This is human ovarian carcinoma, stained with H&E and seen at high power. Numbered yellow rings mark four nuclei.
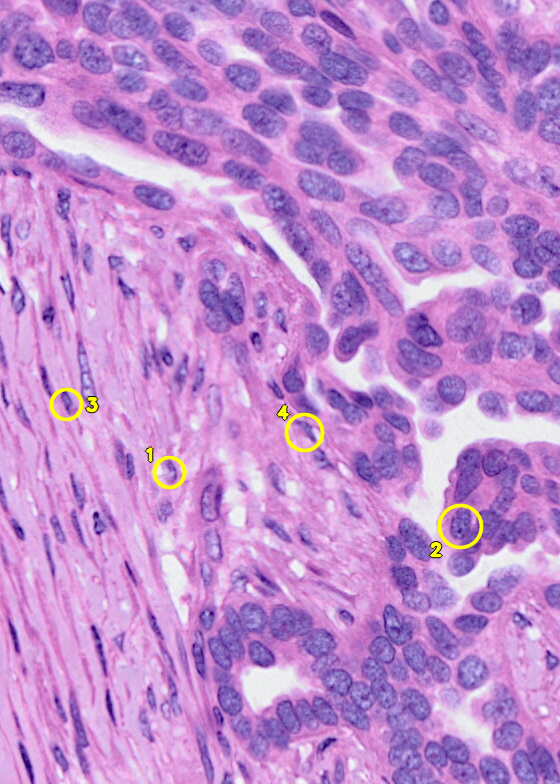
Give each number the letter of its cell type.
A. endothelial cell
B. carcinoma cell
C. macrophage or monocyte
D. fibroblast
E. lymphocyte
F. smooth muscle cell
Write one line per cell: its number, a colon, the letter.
1: D
2: B
3: D
4: D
